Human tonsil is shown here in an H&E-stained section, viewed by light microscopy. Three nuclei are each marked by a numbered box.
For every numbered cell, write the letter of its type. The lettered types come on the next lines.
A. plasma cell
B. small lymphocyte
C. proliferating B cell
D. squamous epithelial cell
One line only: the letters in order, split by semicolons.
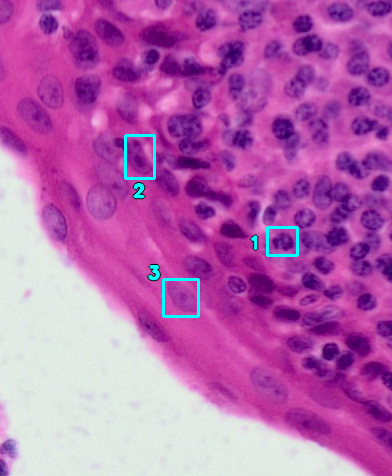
A; D; D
